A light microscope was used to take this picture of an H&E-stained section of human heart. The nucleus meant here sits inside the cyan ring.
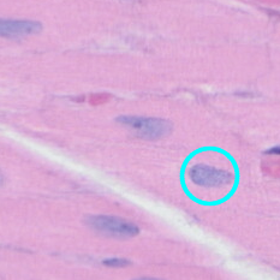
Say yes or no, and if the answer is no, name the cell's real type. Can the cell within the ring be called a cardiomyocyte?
Yes.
